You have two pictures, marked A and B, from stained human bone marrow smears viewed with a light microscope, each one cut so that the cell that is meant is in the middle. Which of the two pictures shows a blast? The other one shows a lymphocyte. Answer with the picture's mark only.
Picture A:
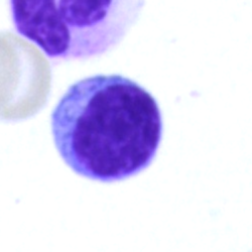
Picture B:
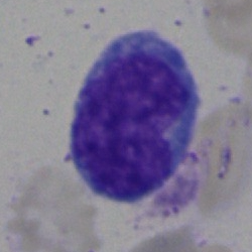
B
